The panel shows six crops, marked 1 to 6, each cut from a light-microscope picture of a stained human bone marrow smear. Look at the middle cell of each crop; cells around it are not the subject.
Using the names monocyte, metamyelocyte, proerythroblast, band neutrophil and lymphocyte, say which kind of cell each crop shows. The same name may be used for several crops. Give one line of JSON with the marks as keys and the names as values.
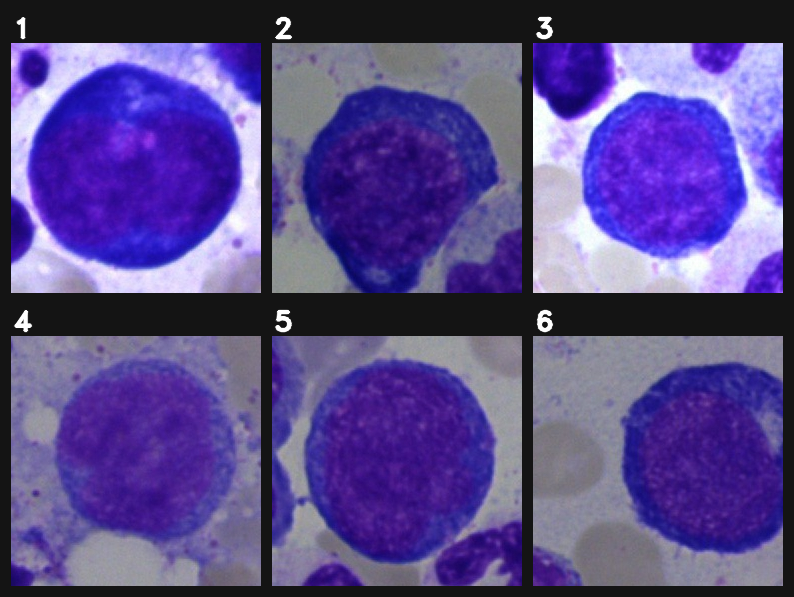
{"1": "proerythroblast", "2": "proerythroblast", "3": "proerythroblast", "4": "proerythroblast", "5": "proerythroblast", "6": "proerythroblast"}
